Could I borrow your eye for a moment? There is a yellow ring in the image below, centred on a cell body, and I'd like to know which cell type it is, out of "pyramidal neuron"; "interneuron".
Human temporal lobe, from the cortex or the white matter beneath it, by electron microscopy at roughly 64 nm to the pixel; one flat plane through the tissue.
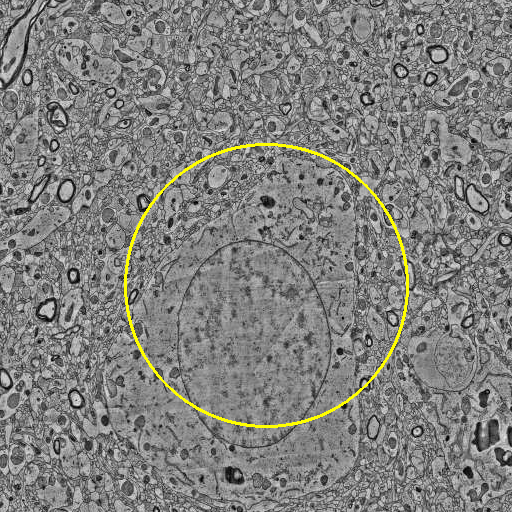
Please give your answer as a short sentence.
The cell body at the centre is that of a pyramidal neuron.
